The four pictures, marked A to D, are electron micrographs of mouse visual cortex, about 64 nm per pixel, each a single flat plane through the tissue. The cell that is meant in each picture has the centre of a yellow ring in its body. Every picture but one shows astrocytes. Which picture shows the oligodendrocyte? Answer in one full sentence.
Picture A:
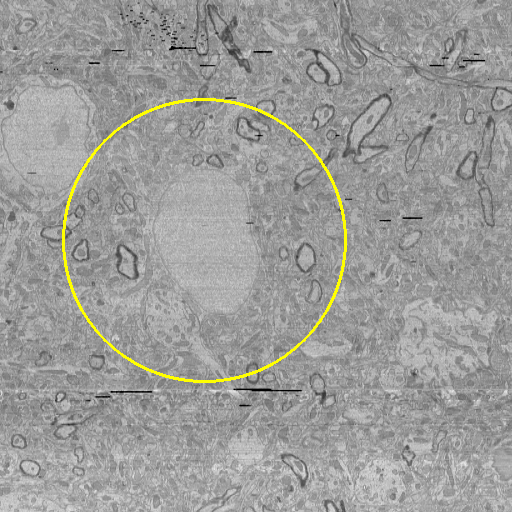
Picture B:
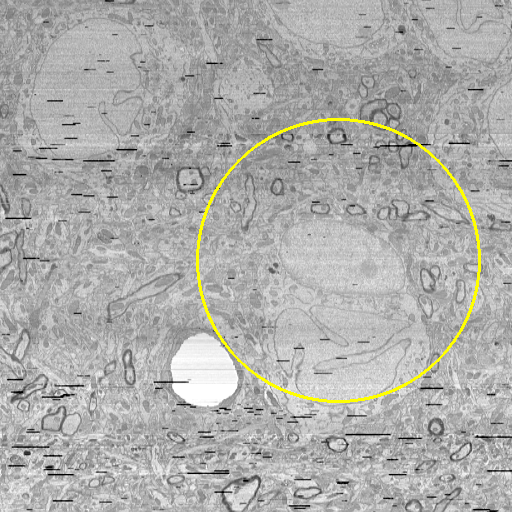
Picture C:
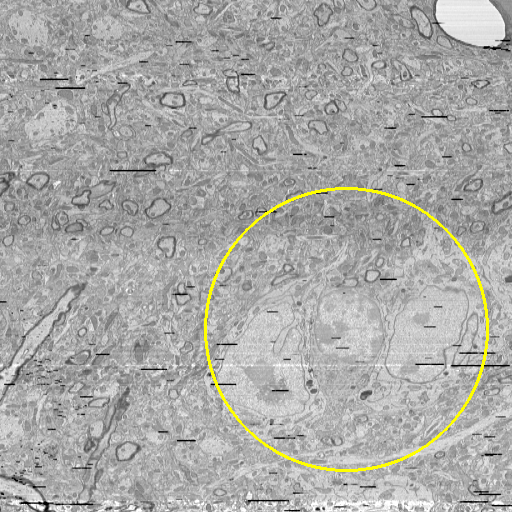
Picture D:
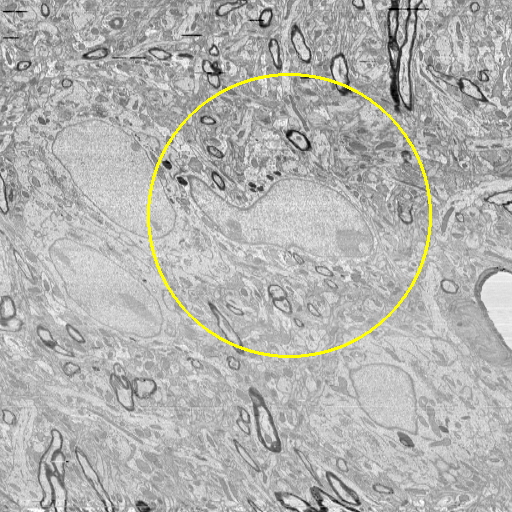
Picture C is the one that shows the oligodendrocyte.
